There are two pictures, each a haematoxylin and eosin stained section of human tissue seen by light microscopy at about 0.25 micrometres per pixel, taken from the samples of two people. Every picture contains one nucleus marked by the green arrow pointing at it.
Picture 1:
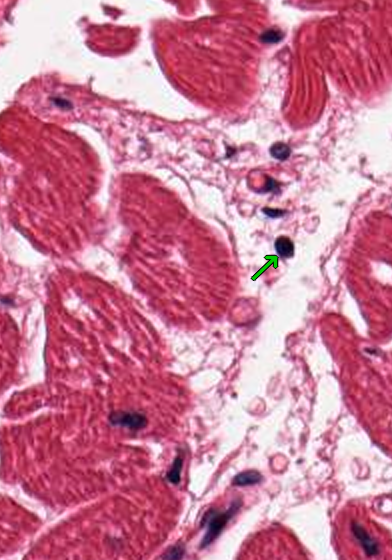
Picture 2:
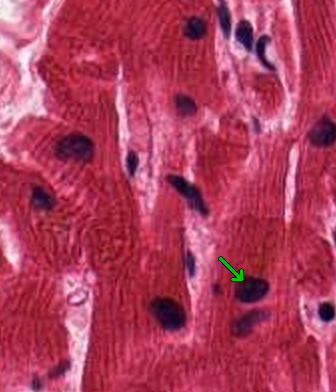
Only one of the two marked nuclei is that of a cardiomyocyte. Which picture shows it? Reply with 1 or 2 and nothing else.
2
